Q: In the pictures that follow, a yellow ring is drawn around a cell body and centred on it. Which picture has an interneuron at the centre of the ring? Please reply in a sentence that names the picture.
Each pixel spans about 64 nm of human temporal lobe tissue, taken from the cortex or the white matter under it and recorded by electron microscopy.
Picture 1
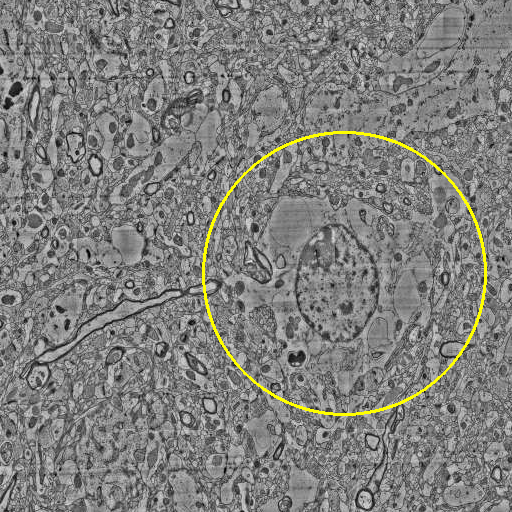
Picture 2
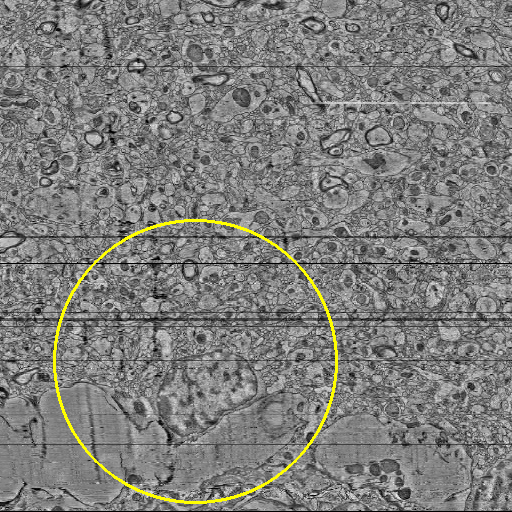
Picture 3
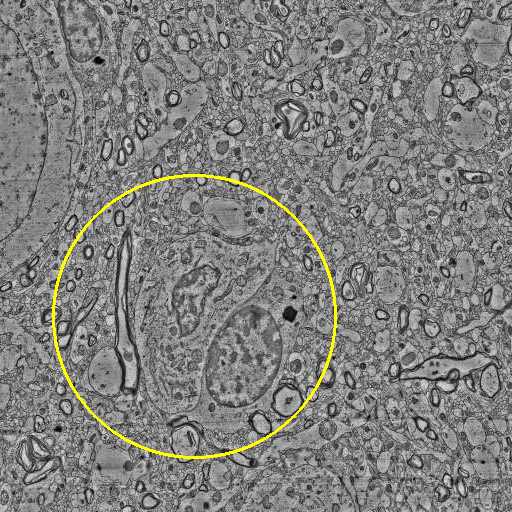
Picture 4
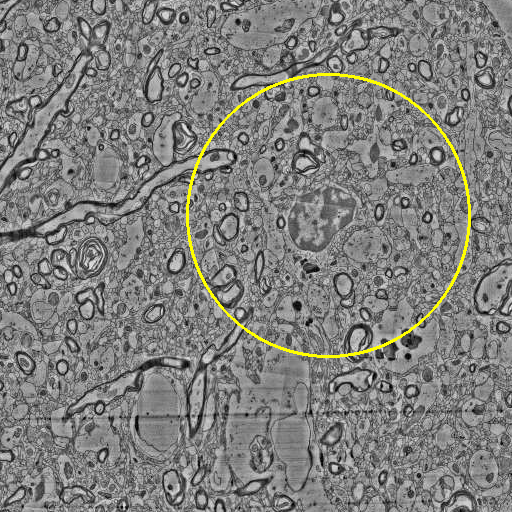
Picture 3 shows it at the centre of its ring.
